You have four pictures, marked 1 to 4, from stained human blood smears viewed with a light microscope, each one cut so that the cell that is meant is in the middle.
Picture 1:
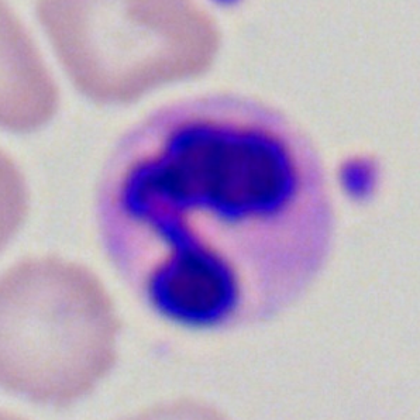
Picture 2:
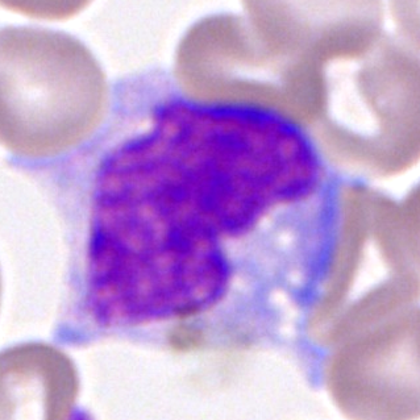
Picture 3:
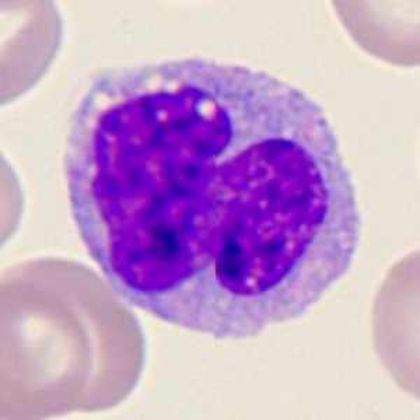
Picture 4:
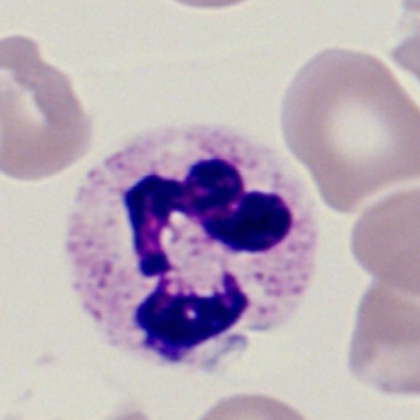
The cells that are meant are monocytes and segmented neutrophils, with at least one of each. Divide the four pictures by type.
1: segmented neutrophil
2: monocyte
3: monocyte
4: segmented neutrophil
